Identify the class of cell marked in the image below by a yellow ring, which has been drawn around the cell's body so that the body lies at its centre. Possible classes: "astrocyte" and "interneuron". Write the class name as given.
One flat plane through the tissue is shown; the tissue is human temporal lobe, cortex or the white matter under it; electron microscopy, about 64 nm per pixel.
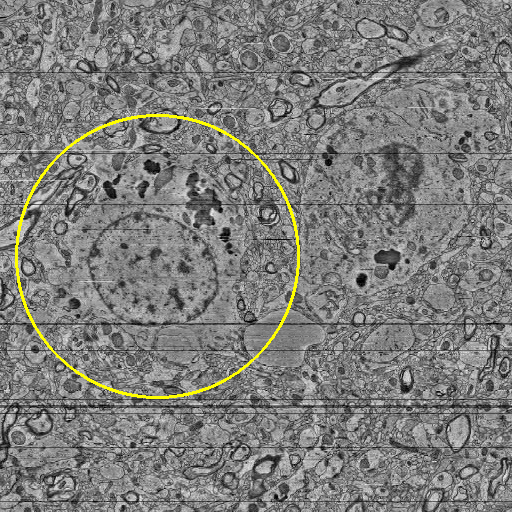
astrocyte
